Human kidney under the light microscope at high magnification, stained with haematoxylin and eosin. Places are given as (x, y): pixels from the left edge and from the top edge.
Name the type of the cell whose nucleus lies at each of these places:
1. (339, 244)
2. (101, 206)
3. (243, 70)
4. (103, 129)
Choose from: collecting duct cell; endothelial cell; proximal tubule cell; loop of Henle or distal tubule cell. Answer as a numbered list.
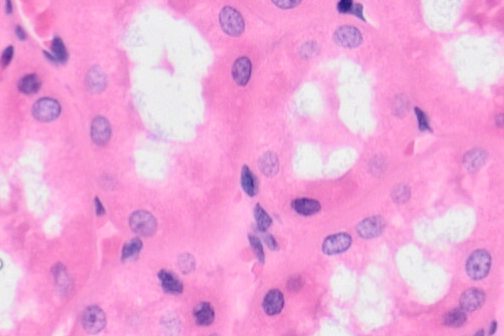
1. proximal tubule cell
2. endothelial cell
3. proximal tubule cell
4. proximal tubule cell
